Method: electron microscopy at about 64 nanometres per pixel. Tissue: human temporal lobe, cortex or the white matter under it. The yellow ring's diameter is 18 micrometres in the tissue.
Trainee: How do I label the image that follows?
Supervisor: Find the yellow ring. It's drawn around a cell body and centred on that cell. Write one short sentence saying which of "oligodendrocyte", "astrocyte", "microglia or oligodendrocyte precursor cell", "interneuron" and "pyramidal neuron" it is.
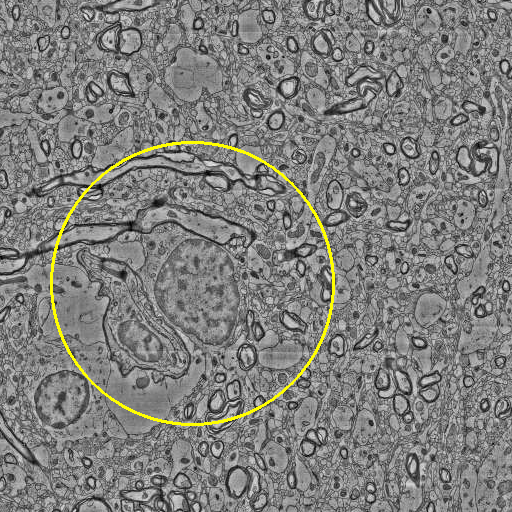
This is the cell body of an oligodendrocyte.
